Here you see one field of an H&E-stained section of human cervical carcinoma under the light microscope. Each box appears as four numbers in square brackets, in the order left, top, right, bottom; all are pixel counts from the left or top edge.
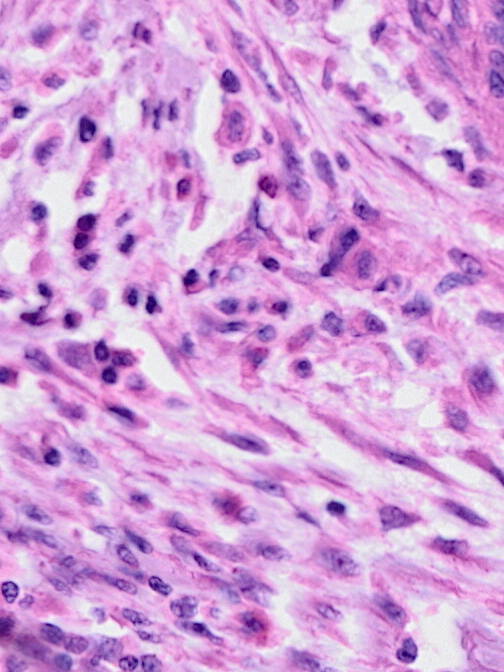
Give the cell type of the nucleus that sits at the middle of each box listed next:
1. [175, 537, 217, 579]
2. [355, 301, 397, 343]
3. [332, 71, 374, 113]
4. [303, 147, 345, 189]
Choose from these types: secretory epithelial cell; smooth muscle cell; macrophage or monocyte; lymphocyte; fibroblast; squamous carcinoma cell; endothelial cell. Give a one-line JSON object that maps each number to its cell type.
{"1": "fibroblast", "2": "macrophage or monocyte", "3": "fibroblast", "4": "fibroblast"}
